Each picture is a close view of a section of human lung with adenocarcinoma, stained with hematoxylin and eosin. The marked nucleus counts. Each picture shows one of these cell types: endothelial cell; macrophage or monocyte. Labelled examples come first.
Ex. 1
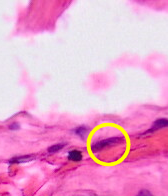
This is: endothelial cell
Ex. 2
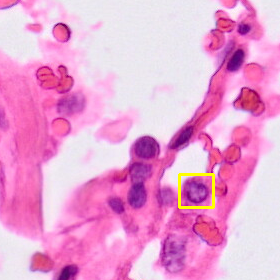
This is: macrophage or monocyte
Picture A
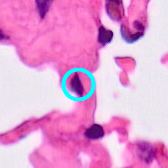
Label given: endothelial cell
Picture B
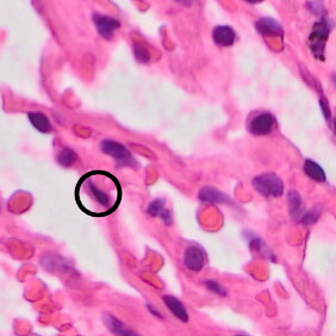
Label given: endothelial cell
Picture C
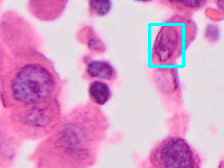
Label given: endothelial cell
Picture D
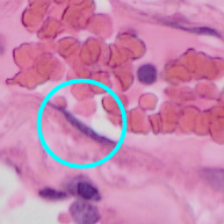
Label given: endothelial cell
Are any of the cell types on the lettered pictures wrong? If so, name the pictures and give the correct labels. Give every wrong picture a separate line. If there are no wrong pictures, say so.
C: change endothelial cell to macrophage or monocyte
